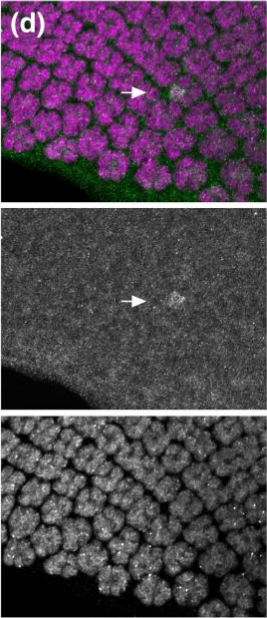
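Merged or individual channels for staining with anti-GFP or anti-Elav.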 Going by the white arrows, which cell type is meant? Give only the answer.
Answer: Photoreceptor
